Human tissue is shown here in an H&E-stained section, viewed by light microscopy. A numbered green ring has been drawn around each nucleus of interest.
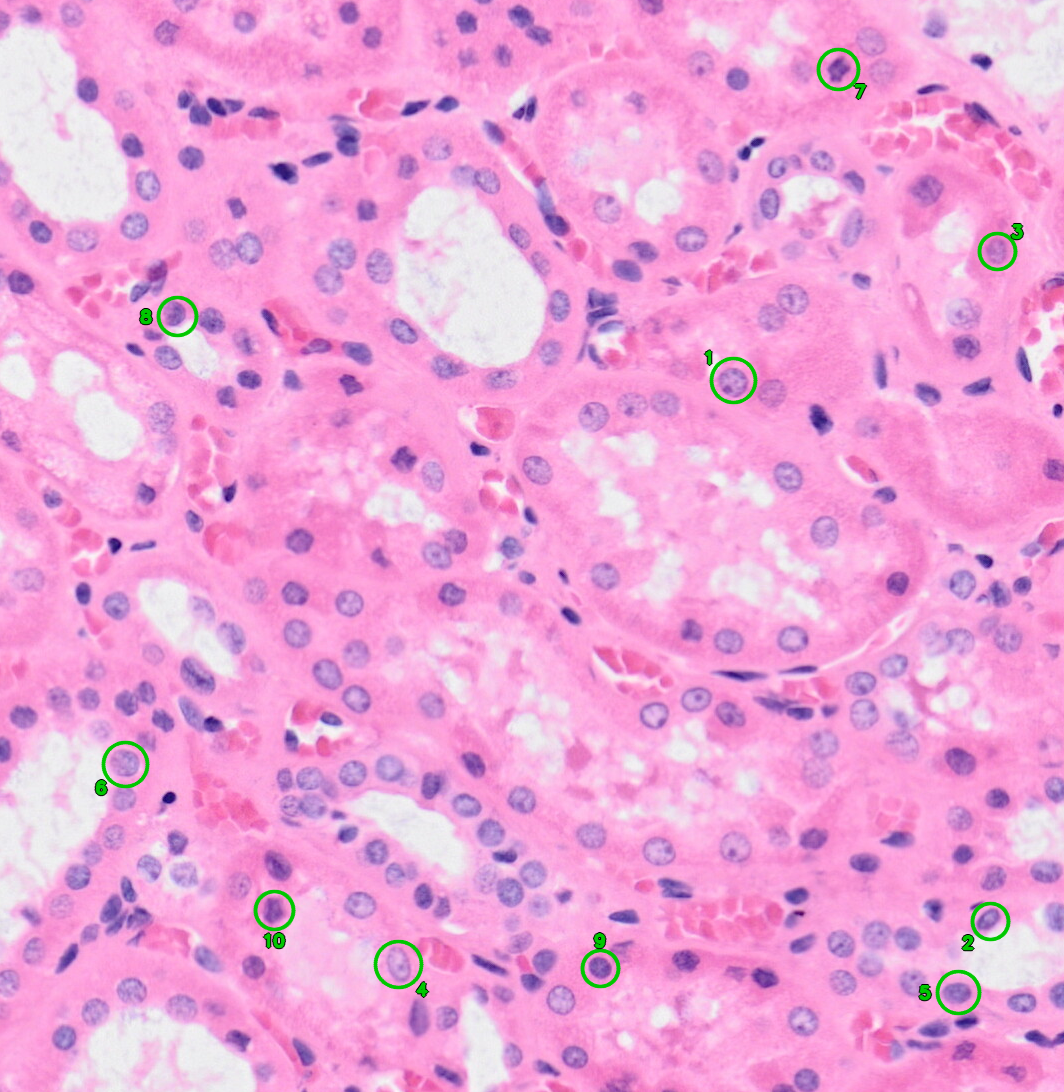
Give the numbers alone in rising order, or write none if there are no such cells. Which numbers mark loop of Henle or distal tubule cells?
2, 5, 6, 8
